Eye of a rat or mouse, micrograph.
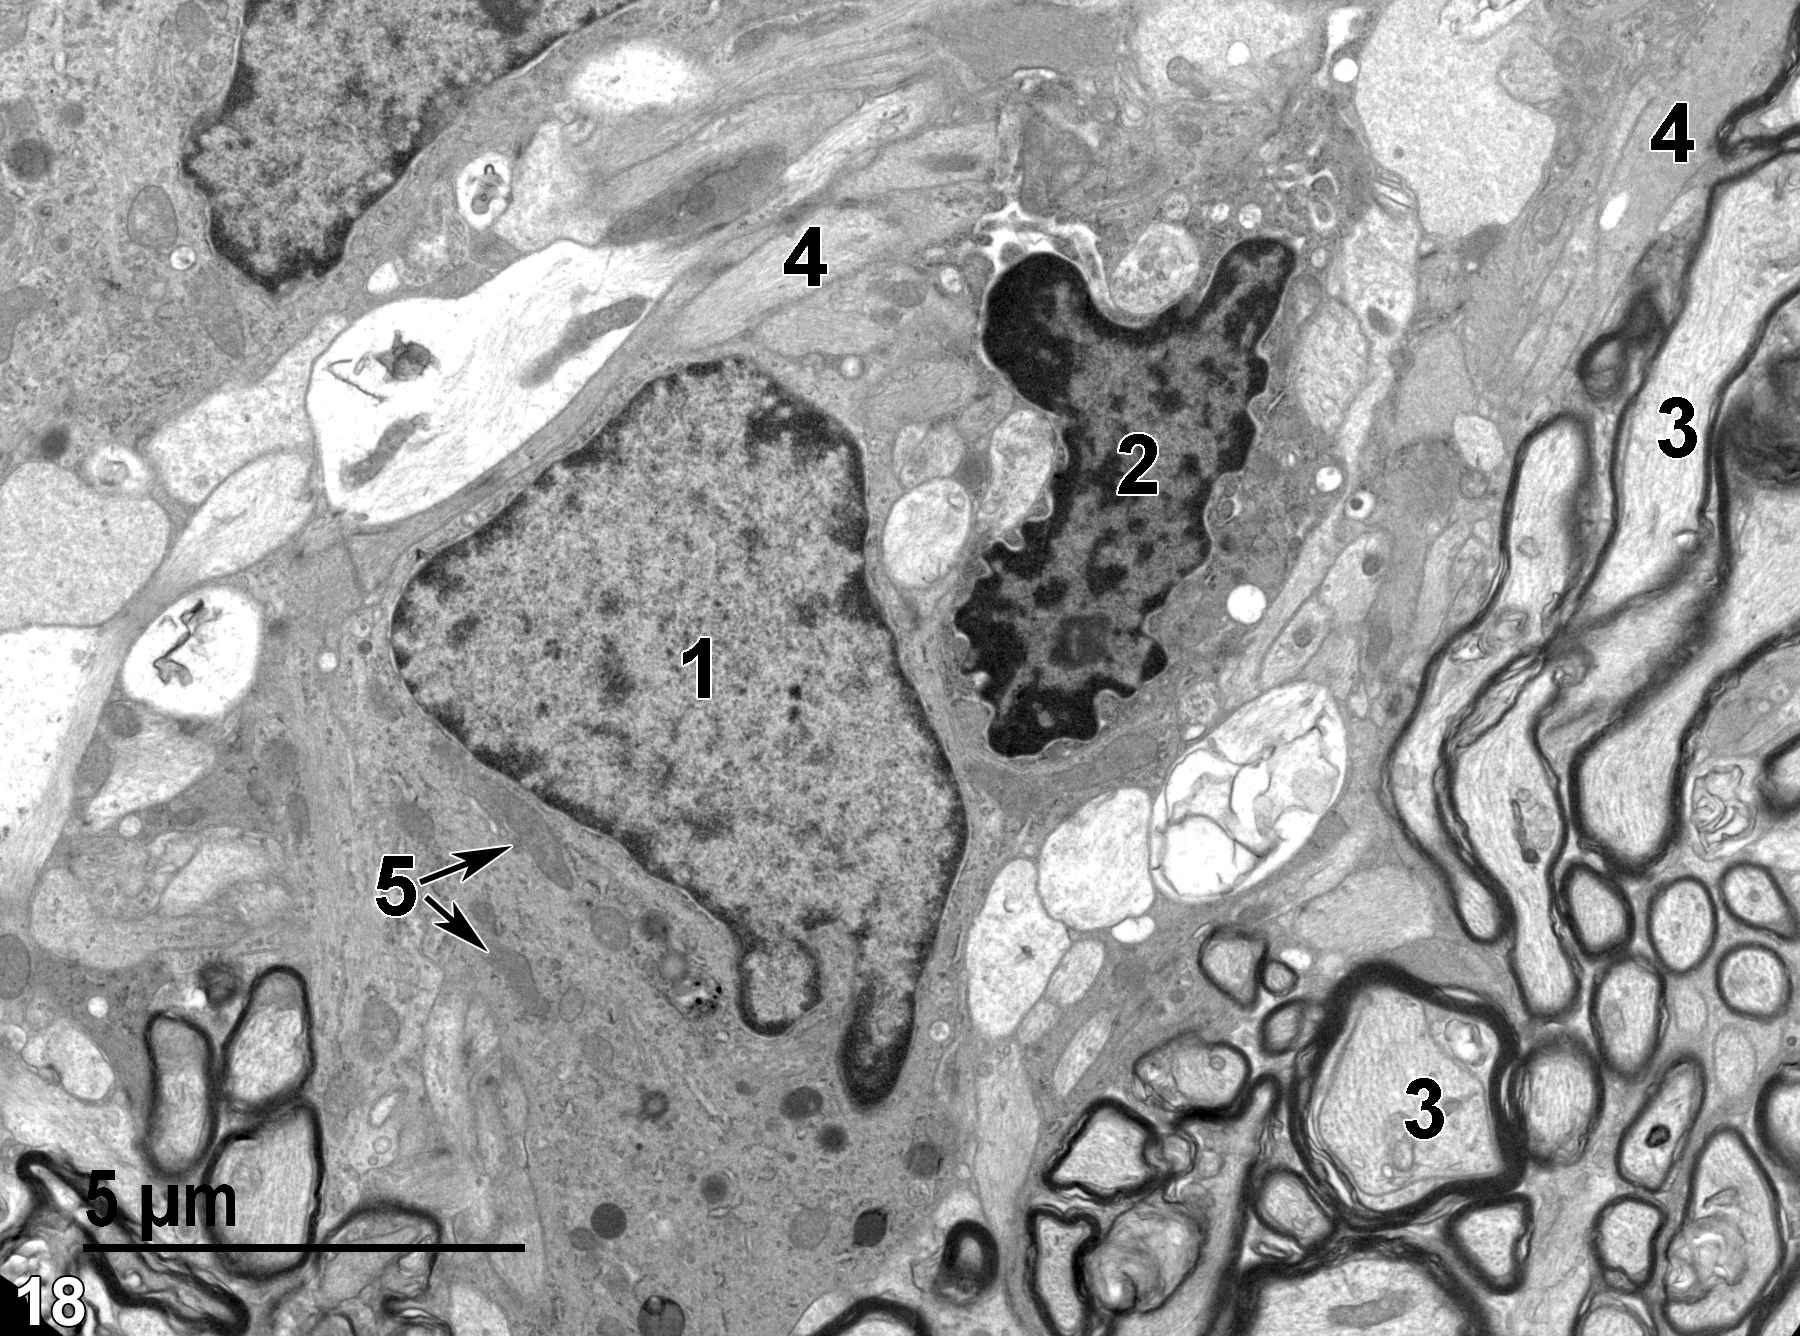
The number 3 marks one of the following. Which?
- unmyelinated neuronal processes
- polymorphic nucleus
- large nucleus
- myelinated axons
myelinated axons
